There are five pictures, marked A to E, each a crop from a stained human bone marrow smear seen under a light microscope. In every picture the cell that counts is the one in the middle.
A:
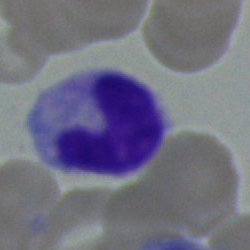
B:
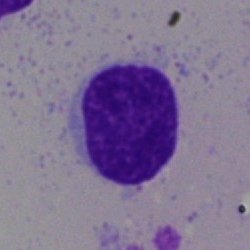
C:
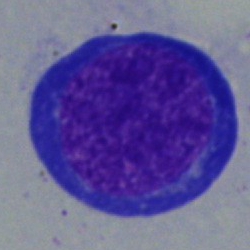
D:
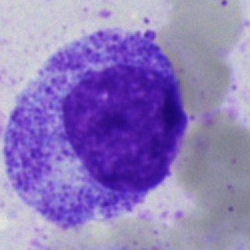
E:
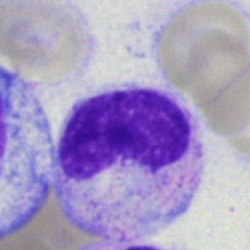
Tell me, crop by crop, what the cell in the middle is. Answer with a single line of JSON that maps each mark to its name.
{"A": "band neutrophil", "B": "lymphocyte", "C": "proerythroblast", "D": "myelocyte", "E": "band neutrophil"}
